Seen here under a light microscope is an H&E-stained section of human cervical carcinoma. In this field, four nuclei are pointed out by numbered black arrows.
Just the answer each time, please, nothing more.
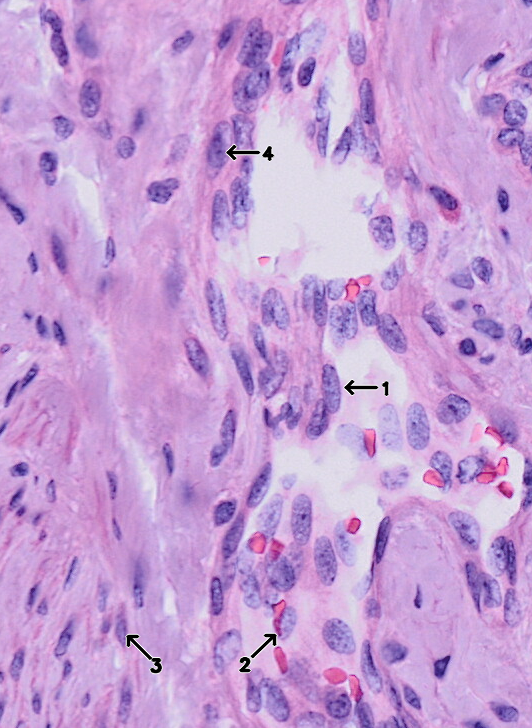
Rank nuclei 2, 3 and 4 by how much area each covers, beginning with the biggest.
4, 2, 3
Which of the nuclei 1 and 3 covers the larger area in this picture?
1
